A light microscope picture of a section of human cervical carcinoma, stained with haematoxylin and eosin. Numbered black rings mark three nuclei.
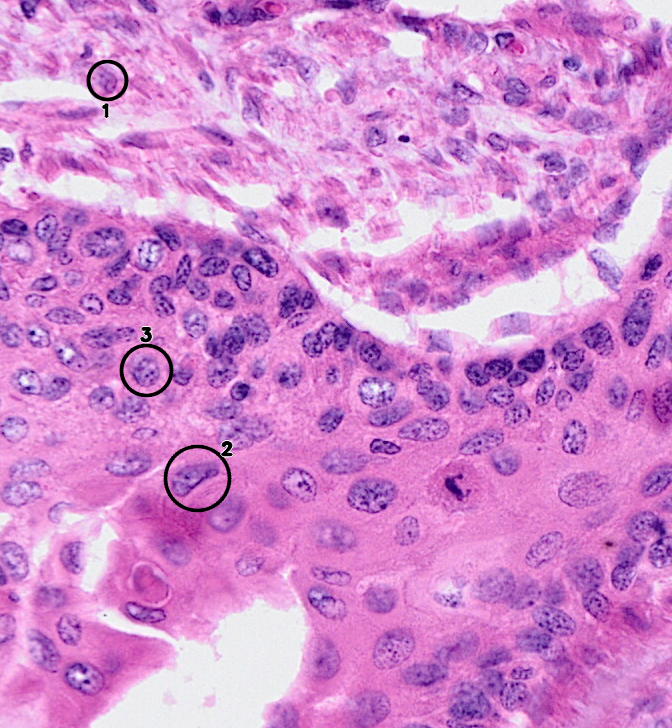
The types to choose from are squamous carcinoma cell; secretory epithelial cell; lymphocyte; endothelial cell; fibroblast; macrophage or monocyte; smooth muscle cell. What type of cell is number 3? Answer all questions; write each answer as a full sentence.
The cell given label 3 is a squamous carcinoma cell.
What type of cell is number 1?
The cell marked with number 1 is a fibroblast.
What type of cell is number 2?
The cell that carries the label 2 is a squamous carcinoma cell.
